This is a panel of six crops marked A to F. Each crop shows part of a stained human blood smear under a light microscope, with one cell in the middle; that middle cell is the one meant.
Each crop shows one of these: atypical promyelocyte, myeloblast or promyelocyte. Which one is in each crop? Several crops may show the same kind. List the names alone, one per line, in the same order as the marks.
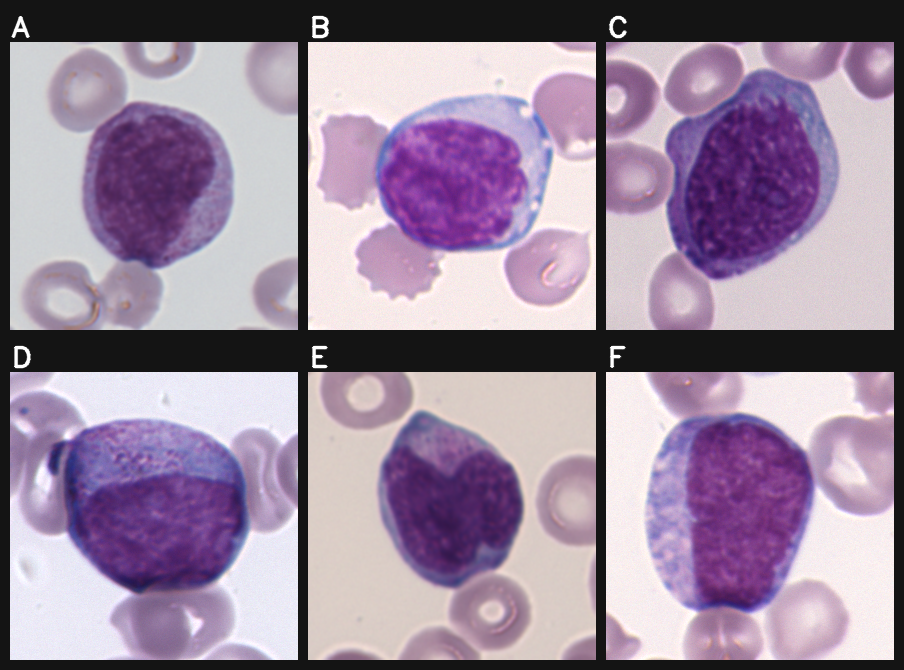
atypical promyelocyte
myeloblast
atypical promyelocyte
promyelocyte
atypical promyelocyte
promyelocyte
